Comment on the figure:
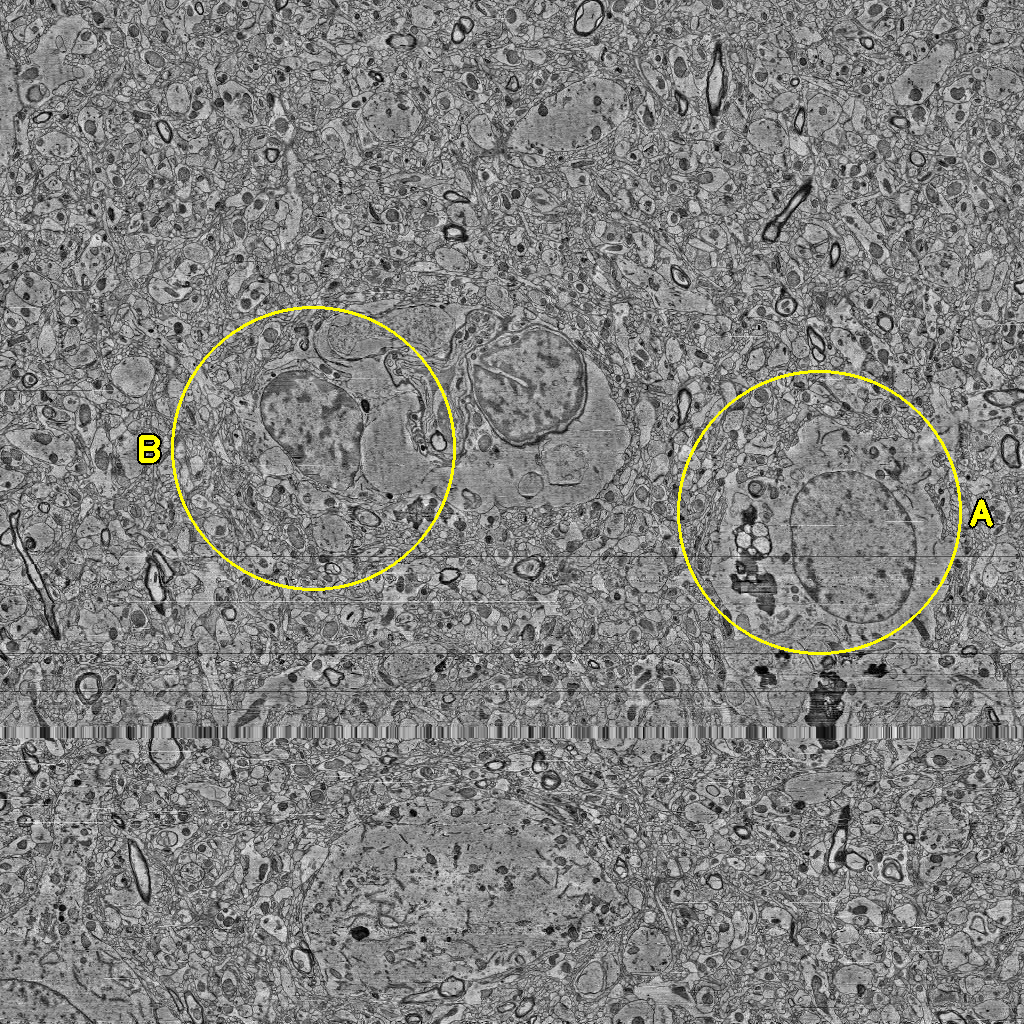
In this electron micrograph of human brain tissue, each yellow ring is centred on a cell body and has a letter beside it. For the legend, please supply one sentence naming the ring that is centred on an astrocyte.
Ring A is centred on that cell.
